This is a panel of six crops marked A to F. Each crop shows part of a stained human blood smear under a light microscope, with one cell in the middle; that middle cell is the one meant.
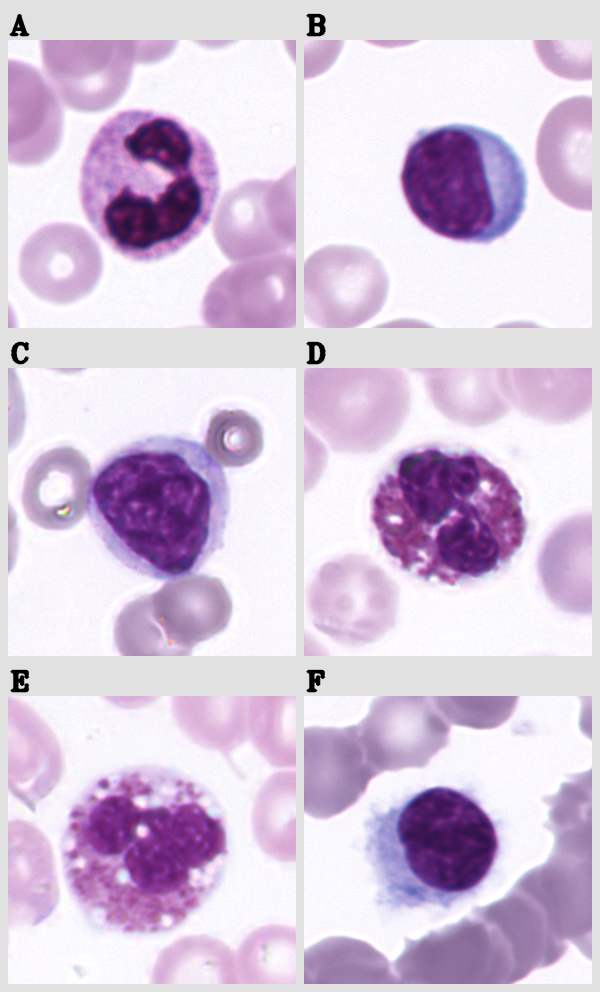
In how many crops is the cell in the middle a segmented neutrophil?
1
